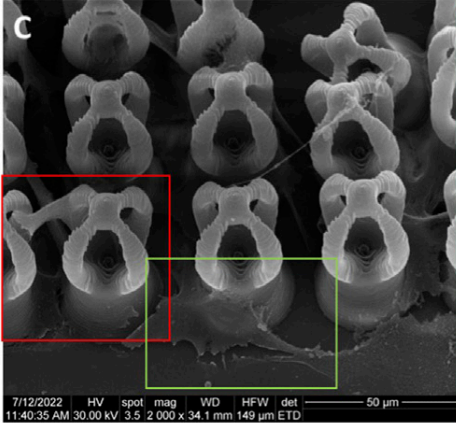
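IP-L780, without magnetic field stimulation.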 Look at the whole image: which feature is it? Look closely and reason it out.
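Regular rows of identical three-dimensional printed units stand on the substrate. Each unit has curved arms arching up from a conical base, enclosing an open space like a cage. The units show fine layered stepping on their surfaces.
Microcage-like structures.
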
